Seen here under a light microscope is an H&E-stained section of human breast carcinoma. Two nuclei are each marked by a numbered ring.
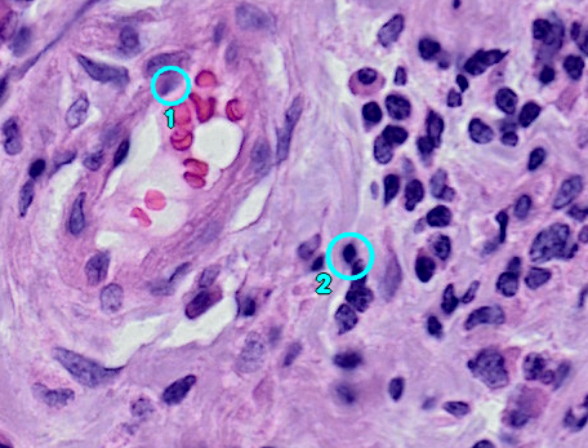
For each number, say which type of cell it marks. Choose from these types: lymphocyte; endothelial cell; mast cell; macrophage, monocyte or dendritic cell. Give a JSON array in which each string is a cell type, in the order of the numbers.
["endothelial cell", "lymphocyte"]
